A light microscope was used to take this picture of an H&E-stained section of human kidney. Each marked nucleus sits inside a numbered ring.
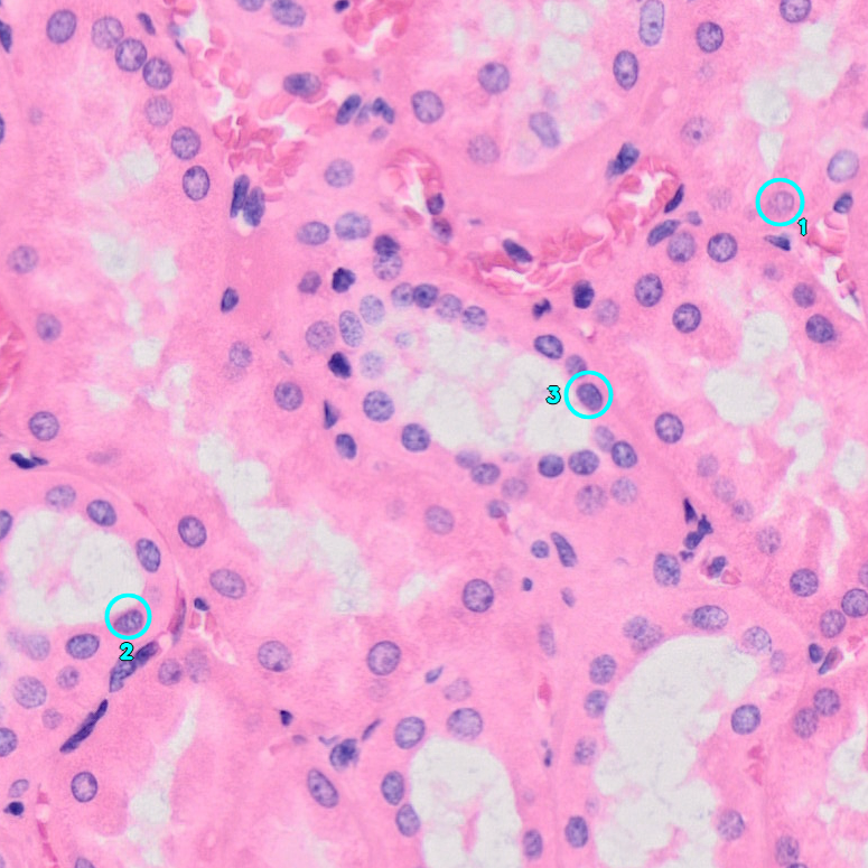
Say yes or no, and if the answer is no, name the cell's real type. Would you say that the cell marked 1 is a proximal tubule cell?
Yes.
